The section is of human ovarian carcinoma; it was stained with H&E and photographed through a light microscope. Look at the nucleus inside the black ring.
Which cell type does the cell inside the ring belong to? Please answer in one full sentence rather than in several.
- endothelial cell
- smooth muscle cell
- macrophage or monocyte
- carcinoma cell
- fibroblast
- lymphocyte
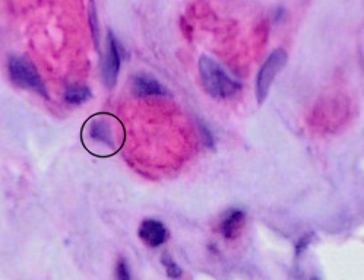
Labelled by cell type, the cell inside the ring is an endothelial cell.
